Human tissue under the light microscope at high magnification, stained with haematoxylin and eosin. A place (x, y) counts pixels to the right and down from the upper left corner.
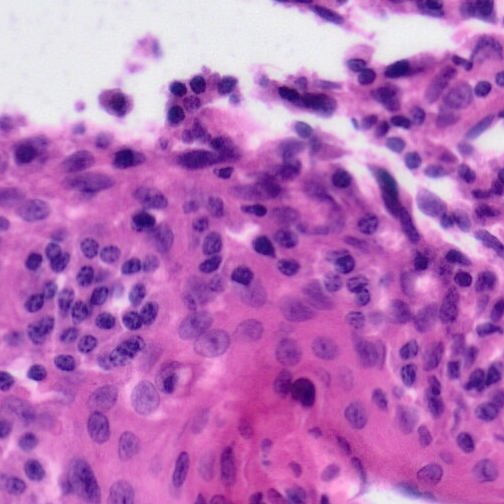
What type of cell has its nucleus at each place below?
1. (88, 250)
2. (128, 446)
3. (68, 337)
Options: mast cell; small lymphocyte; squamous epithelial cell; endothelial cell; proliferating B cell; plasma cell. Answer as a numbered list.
1. plasma cell
2. squamous epithelial cell
3. plasma cell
